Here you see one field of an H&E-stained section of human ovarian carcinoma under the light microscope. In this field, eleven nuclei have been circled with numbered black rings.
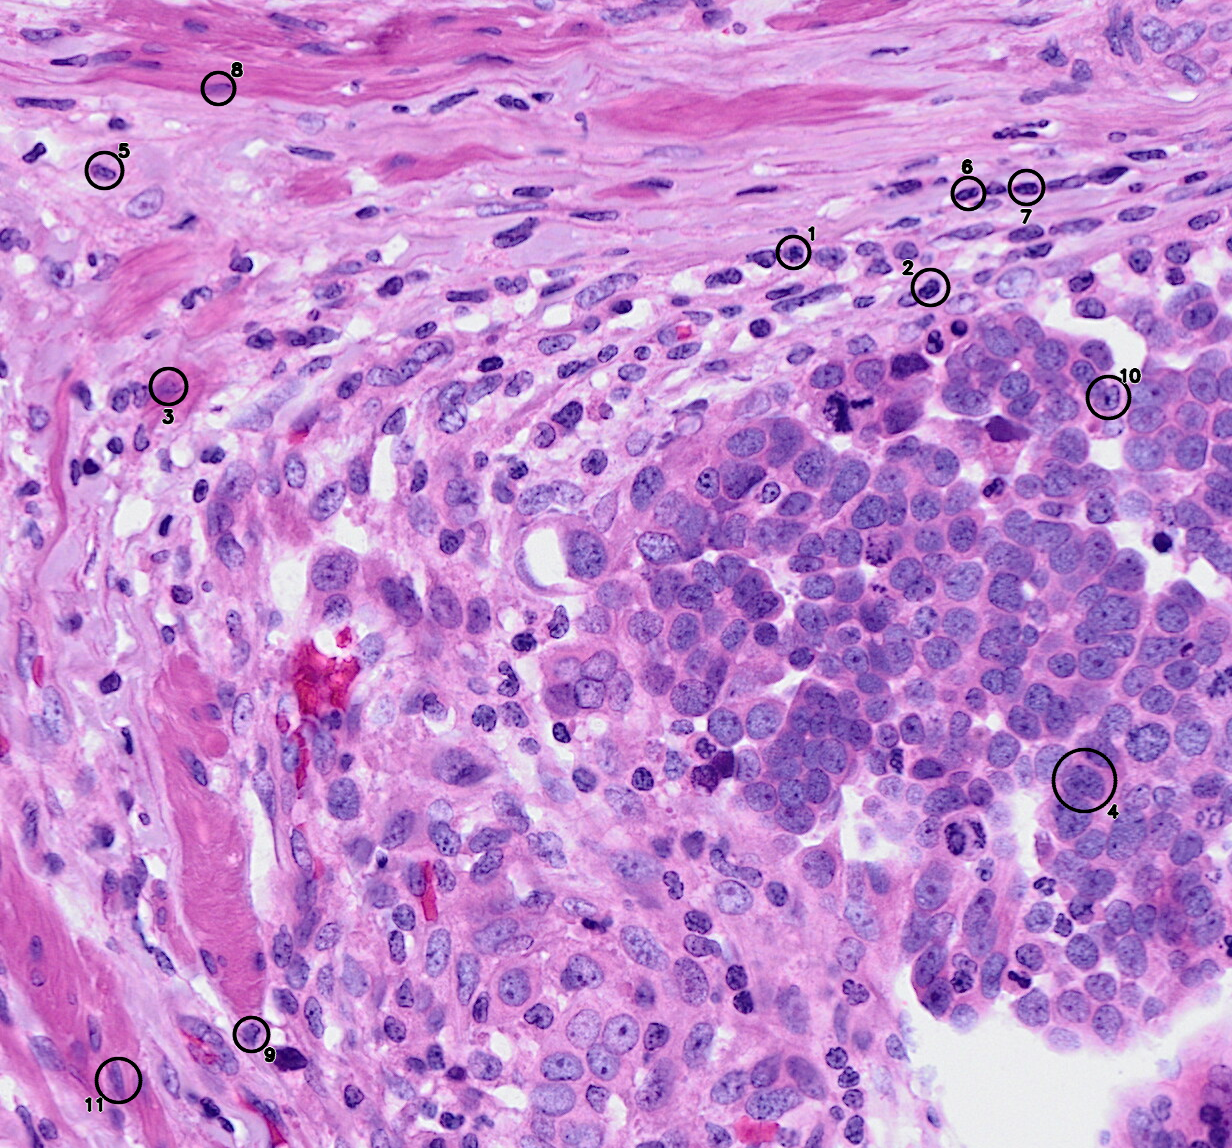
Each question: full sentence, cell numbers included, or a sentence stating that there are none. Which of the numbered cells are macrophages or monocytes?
The cells referred to by the numbers 9 and 10 are macrophages or monocytes.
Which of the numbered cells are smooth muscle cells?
Each of the cells numbered 3, 8 and 11 is among the smooth muscle cells.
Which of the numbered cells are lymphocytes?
The cells that bear the numbers 1, 2, 5, 6 and 7 are lymphocytes.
